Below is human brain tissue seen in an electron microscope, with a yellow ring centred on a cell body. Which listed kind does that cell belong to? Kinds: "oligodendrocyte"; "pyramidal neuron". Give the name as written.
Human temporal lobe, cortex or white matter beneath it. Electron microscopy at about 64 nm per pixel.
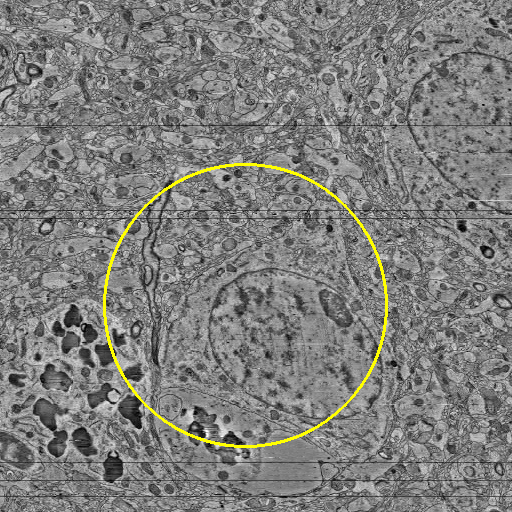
pyramidal neuron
